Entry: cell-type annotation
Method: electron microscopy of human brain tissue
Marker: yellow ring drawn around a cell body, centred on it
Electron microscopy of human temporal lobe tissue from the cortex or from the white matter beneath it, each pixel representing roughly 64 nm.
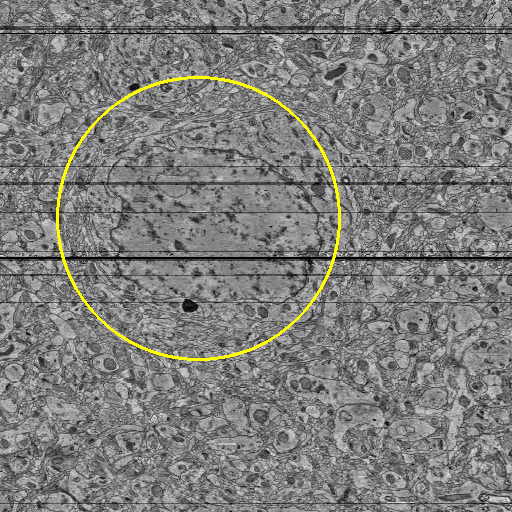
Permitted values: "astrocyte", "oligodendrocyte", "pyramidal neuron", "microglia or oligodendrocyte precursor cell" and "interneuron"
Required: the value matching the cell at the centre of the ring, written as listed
pyramidal neuron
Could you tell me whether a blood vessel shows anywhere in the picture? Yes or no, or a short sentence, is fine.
No, the picture includes no blood vessel.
